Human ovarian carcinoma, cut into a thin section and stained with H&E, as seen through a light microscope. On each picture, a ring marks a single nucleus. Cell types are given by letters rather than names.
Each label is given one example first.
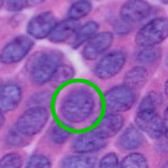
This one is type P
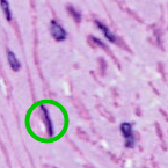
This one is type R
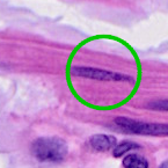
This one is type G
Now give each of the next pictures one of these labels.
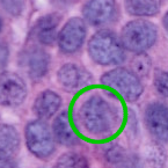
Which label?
type P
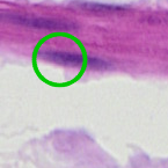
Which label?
type G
